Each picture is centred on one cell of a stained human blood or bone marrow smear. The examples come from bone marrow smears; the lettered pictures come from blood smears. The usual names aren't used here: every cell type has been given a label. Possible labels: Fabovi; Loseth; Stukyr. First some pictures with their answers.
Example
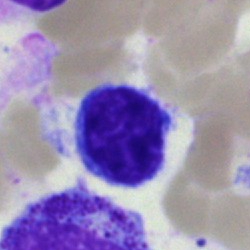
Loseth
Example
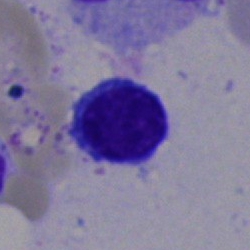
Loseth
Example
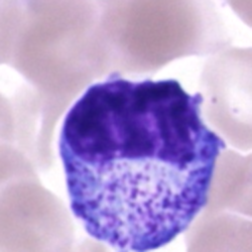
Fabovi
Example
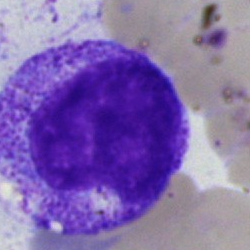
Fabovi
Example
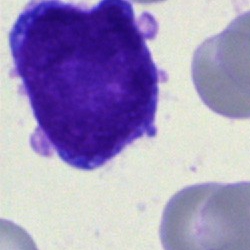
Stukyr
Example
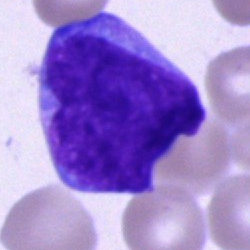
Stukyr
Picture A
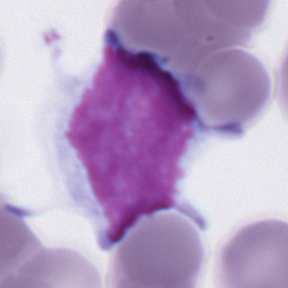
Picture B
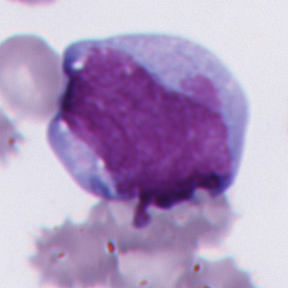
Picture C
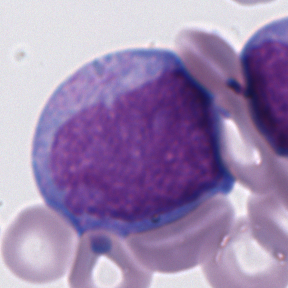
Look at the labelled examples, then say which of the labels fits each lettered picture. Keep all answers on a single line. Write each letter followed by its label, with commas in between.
A Loseth, B Stukyr, C Fabovi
